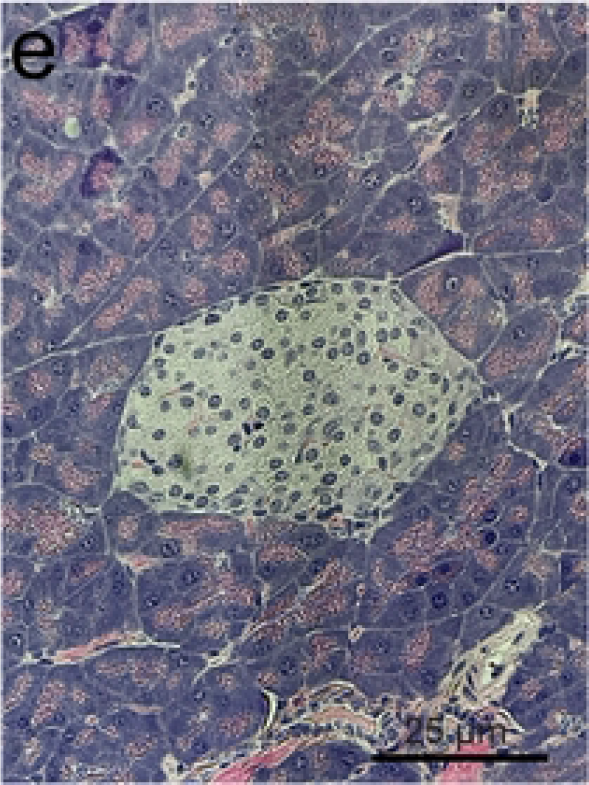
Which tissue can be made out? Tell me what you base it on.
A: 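A rounded, pale-staining cluster of cells lies in the centre. It is surrounded by acinar cells with purple cytoplasm and pink granules.
Conclusion: islet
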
